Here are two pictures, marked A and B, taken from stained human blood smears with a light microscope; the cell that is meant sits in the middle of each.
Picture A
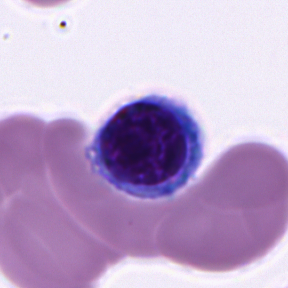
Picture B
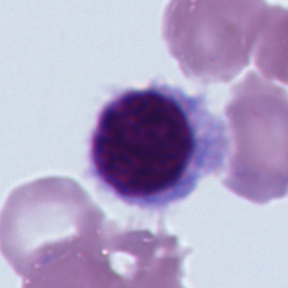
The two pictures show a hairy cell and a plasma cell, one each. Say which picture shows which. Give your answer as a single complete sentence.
Picture B shows a hairy cell, while picture A shows a plasma cell.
